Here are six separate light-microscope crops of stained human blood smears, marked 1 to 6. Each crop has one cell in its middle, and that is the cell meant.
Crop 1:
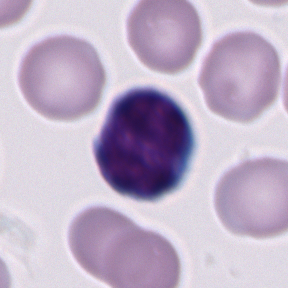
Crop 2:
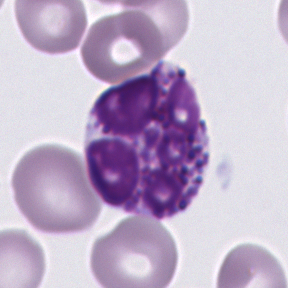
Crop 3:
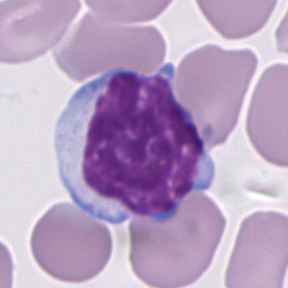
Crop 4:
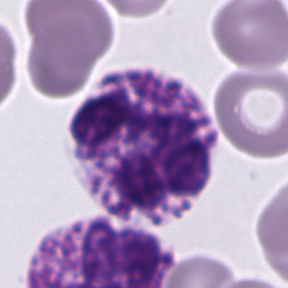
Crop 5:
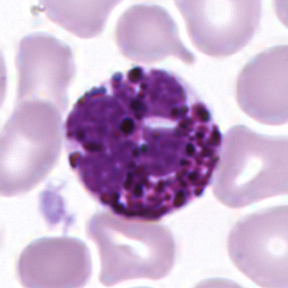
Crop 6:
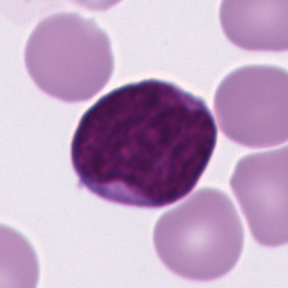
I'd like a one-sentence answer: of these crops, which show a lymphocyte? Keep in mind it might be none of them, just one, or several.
The only crop showing a lymphocyte is crop 1.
